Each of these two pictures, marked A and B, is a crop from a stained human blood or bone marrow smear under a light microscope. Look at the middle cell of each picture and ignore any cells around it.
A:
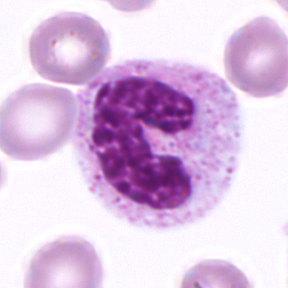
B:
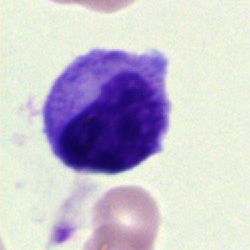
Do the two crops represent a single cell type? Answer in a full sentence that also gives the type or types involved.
No, crop A offers a band neutrophil, while crop B offers a metamyelocyte.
